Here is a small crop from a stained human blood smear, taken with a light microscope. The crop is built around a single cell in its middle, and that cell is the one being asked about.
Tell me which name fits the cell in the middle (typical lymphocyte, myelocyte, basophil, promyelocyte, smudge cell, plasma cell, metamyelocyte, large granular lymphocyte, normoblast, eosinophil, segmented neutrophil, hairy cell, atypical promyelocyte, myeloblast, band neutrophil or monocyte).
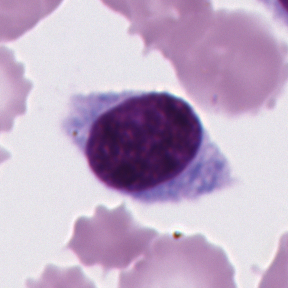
hairy cell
